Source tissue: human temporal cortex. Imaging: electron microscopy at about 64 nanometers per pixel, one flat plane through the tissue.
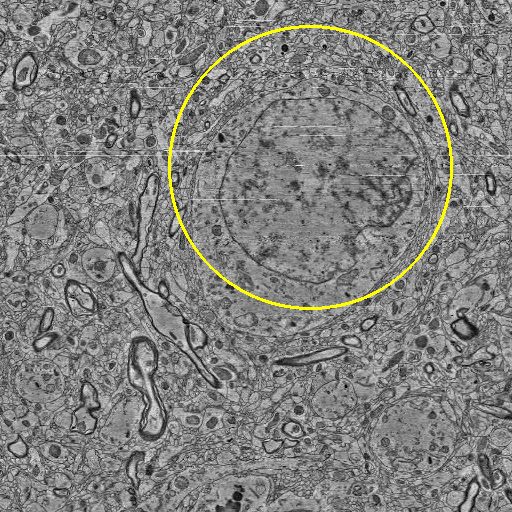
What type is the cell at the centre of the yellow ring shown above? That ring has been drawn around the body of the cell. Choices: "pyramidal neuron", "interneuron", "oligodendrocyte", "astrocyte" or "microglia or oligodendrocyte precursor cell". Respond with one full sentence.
My answer is that a pyramidal neuron lies at the centre of the yellow ring above.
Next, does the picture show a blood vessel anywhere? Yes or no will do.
No, there is none.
